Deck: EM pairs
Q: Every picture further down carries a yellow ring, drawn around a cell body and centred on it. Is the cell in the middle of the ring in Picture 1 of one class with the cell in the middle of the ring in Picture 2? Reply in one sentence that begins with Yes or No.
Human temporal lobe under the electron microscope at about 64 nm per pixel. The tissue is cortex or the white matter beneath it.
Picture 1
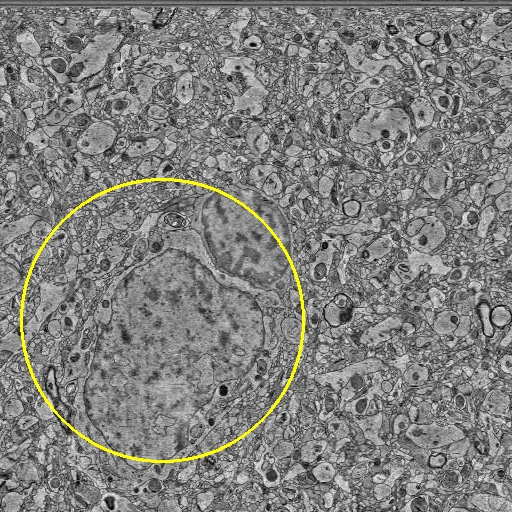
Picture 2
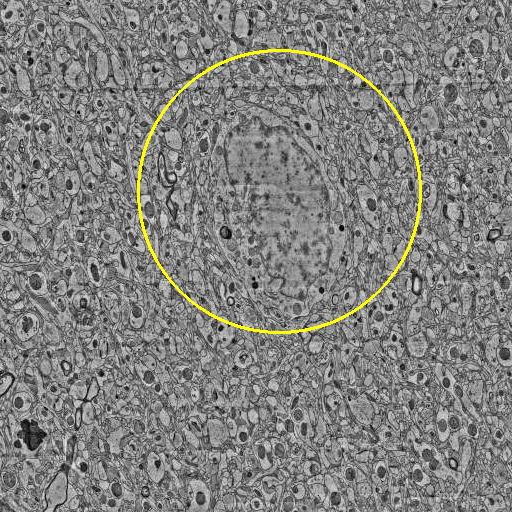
Yes, the cell centred in the ring of Picture 1 and the one in Picture 2 belong to one class.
